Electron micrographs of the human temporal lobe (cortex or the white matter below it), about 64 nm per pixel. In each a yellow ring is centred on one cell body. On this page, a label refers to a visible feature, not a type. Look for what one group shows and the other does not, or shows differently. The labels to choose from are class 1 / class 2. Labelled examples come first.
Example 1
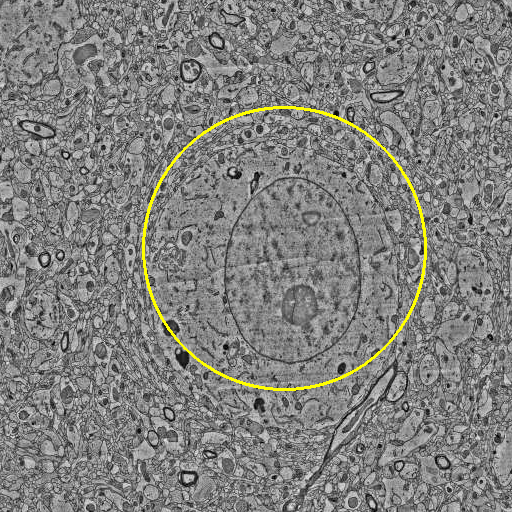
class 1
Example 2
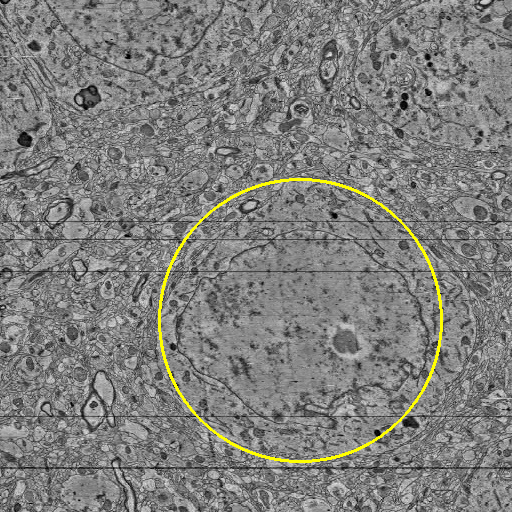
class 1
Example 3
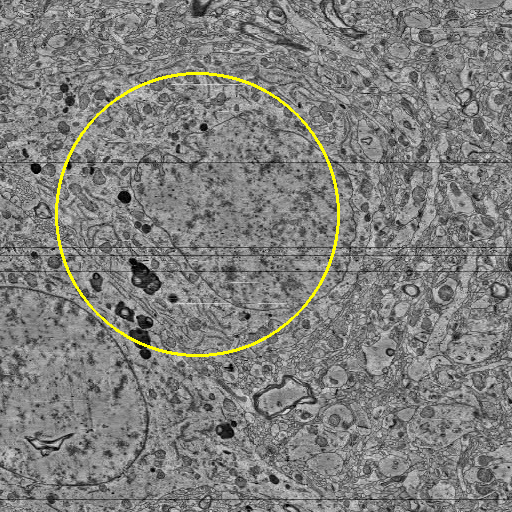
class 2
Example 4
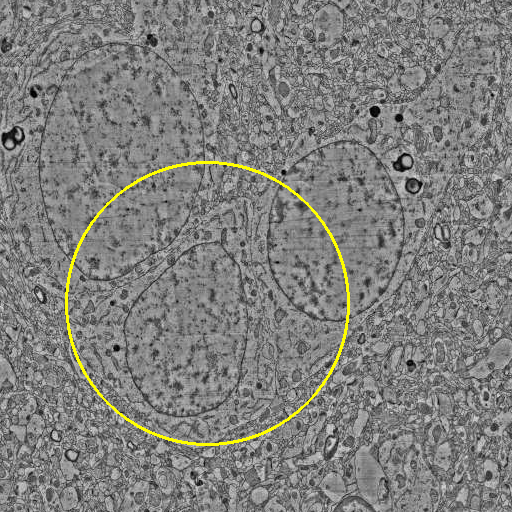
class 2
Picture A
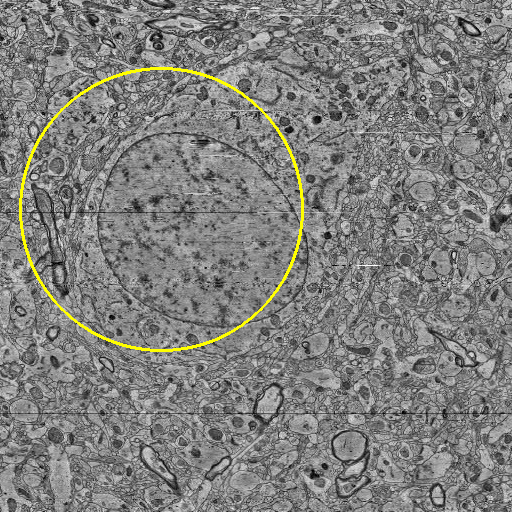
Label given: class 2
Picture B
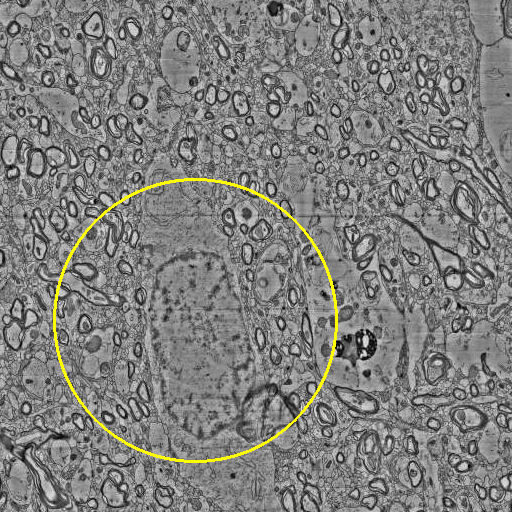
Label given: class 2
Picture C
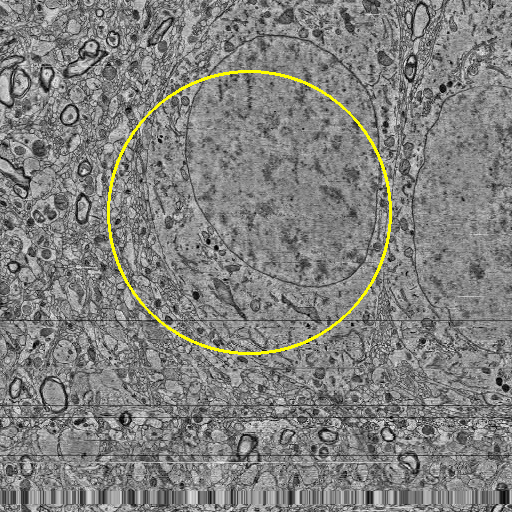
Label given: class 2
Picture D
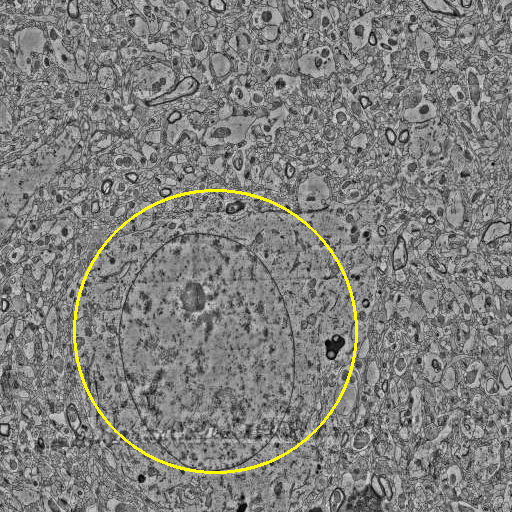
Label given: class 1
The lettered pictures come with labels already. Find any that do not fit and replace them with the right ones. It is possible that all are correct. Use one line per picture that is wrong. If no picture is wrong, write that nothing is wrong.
No label is wrong.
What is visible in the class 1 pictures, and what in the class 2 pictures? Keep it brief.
Seen in class 1: nucleolus seen; seen in class 2: no nucleolus seen.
